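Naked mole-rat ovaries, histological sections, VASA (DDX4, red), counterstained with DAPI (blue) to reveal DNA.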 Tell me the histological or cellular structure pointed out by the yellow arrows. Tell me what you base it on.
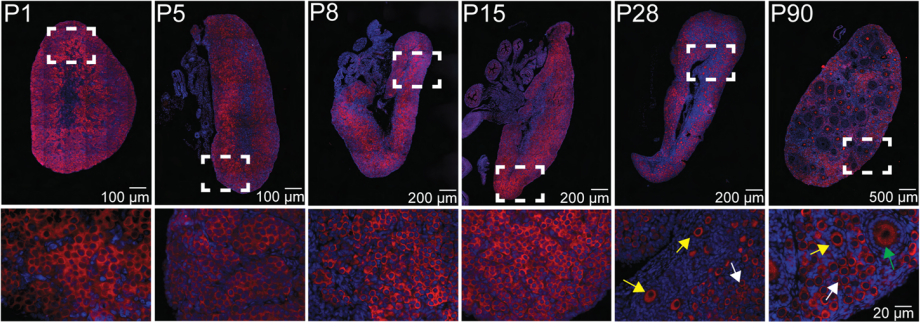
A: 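The yellow arrows point to round red cells standing out from the smaller cells around them. So: primary follicles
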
